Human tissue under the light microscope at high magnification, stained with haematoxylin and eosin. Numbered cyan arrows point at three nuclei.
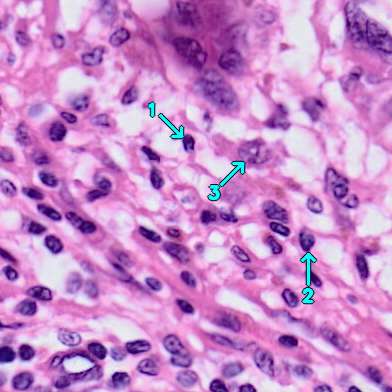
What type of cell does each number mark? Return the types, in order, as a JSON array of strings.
["lymphocyte", "lymphocyte", "melanoma cell"]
